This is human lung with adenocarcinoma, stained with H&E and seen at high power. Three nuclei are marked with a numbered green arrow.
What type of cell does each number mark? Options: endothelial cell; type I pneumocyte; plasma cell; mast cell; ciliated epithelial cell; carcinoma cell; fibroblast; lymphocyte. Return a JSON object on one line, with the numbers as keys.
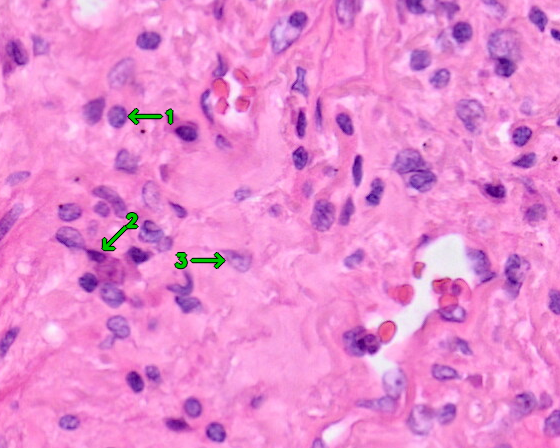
{"1": "mast cell", "2": "plasma cell", "3": "fibroblast"}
